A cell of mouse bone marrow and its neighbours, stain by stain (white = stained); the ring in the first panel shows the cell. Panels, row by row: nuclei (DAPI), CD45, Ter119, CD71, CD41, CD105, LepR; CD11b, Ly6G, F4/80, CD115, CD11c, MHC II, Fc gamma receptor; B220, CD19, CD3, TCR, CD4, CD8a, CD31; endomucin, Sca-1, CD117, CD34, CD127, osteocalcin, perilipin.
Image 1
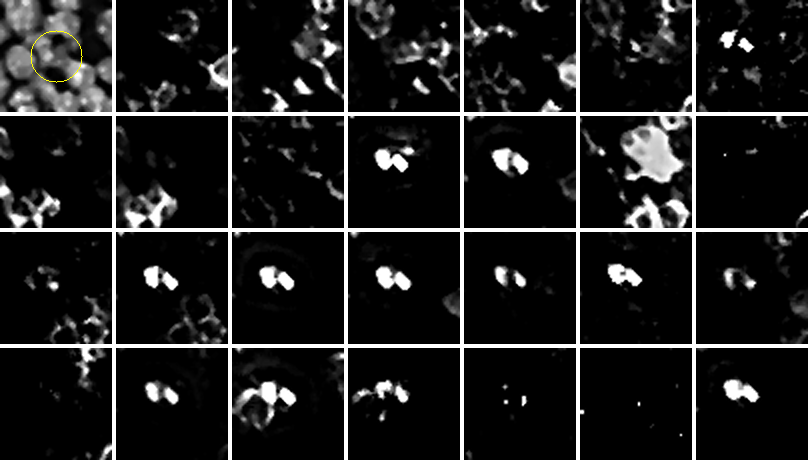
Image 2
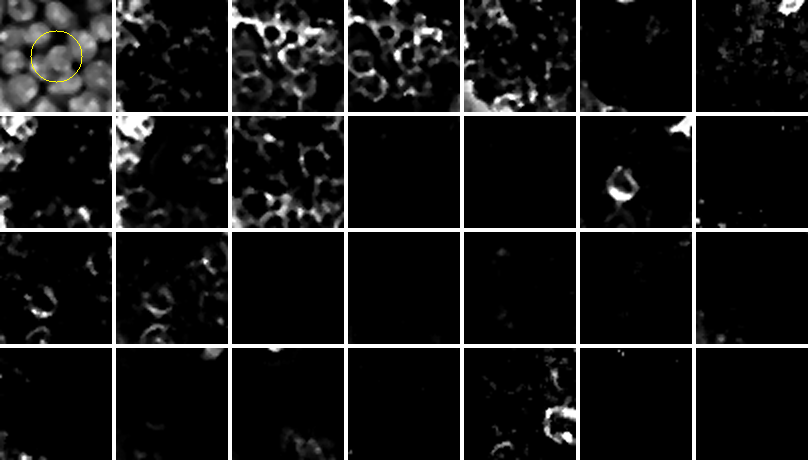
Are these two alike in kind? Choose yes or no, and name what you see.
No. First an erythroid progenitor (CFU-E), second an erythroblast.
